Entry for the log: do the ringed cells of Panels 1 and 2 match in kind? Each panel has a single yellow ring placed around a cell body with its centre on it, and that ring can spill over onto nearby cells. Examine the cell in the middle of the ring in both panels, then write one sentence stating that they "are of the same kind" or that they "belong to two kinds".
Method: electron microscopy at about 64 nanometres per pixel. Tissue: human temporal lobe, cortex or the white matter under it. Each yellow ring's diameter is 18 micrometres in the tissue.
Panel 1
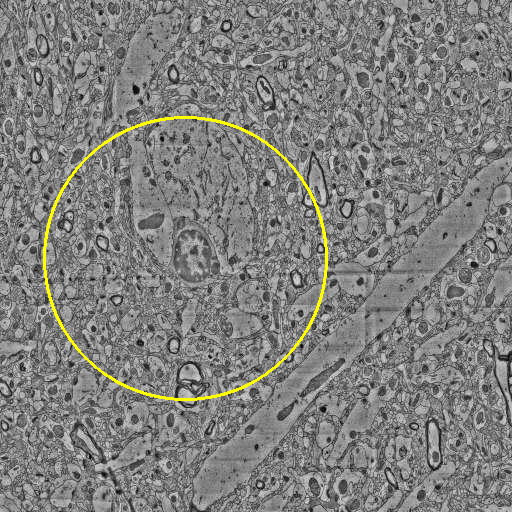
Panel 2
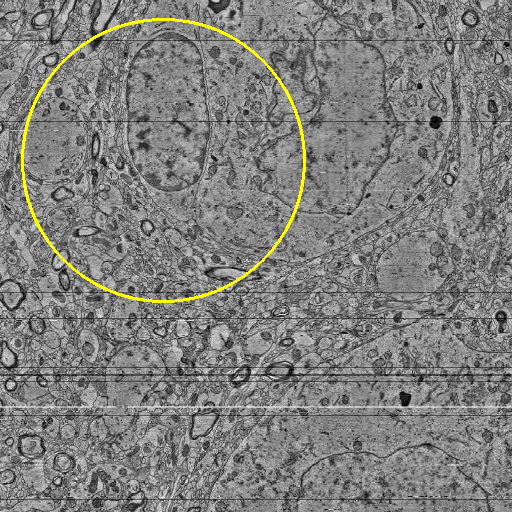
The centre cell of Panel 1's ring and that of Panel 2's ring belong to two kinds.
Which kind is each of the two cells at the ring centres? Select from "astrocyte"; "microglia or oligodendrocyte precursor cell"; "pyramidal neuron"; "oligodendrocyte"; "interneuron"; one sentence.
The cell at the centre of the ring is an oligodendrocyte in the first picture and a microglial cell or oligodendrocyte precursor cell in the second.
